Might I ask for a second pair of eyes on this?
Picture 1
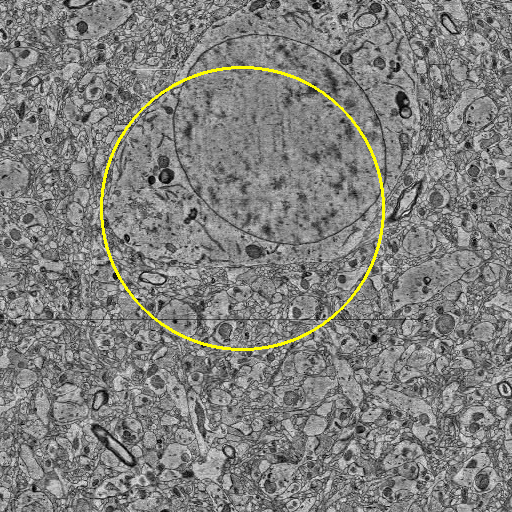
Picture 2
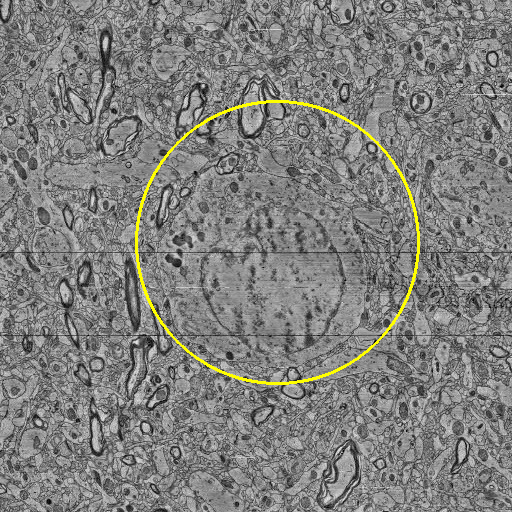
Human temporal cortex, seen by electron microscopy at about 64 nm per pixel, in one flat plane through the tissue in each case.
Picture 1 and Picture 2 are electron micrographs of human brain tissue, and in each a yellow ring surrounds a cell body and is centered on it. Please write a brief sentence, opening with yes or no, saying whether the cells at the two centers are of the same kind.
No, the cells are of two kinds.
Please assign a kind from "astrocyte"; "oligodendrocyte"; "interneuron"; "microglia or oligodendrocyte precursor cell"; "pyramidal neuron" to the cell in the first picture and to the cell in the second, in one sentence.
In the first picture we have a pyramidal neuron, and in the second, an interneuron.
